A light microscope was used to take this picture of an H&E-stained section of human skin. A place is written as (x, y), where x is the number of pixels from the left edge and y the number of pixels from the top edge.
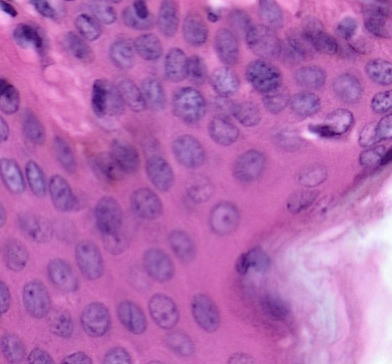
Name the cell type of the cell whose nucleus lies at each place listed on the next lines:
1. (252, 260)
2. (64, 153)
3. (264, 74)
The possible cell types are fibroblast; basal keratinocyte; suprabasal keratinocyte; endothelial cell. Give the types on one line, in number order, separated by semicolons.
suprabasal keratinocyte; basal keratinocyte; basal keratinocyte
